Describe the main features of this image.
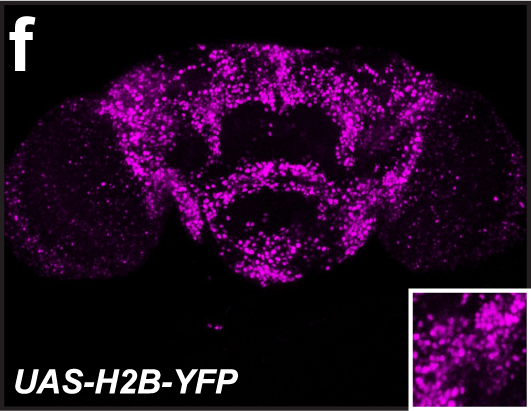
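A whole adult fly brain is seen from the front, with two large lateral lobes at either side of a central brain. Many small, round magenta dots, each the size of a single nucleus, crowd in bands and clusters in the cell body layers around the darker central regions. The dots are dense across the central brain but only sparse and faint over the lateral lobes, so only a subset of the cells of the brain are labelled.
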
